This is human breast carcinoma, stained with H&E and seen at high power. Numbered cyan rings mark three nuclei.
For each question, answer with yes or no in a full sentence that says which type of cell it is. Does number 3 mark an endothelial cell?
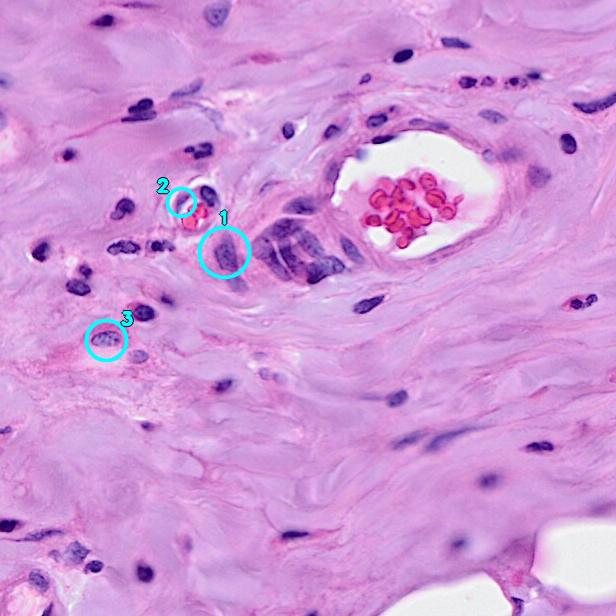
No, number 3 marks a mast cell rather than an endothelial cell.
